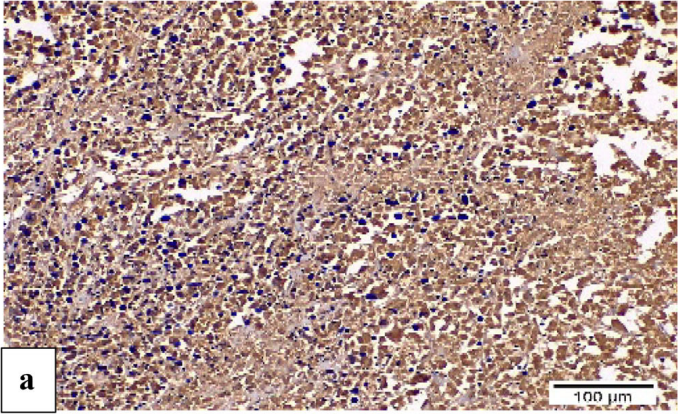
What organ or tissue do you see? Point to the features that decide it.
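No normal organ architecture is visible. The cells vary in size and shape.
Conclusion: solid tumour tissue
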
